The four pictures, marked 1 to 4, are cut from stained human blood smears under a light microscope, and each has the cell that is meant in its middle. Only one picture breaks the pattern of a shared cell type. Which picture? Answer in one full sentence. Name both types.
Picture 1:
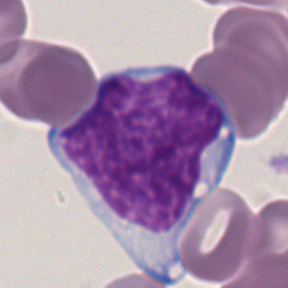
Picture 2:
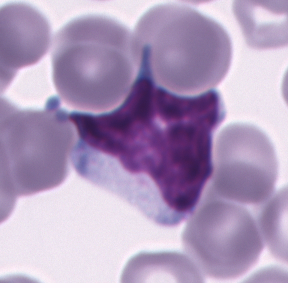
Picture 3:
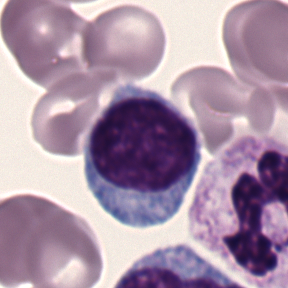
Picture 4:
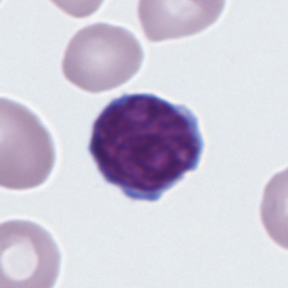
The different one is picture 1; it shows a myeloblast, whereas all the others show typical lymphocytes.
